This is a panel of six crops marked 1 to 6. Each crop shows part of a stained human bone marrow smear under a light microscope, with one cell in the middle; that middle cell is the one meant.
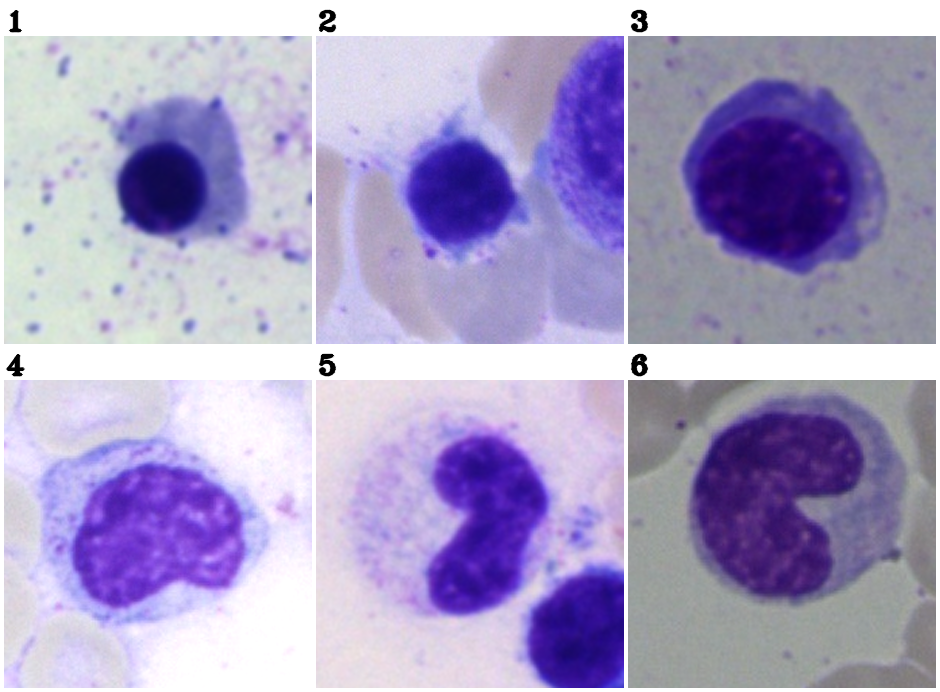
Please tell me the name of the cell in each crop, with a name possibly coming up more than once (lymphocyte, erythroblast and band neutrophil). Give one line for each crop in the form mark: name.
1: erythroblast
2: lymphocyte
3: erythroblast
4: lymphocyte
5: band neutrophil
6: band neutrophil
